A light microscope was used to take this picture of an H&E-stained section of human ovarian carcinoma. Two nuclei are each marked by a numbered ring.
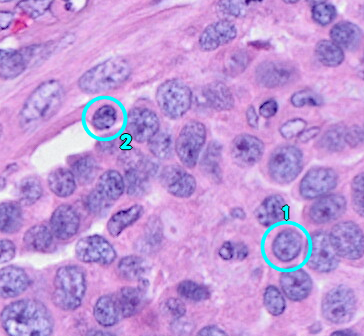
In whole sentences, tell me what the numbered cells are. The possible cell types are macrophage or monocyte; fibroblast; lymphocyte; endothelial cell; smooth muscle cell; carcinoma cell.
Cell 1 is a carcinoma cell. Cell 2 is a macrophage or monocyte.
